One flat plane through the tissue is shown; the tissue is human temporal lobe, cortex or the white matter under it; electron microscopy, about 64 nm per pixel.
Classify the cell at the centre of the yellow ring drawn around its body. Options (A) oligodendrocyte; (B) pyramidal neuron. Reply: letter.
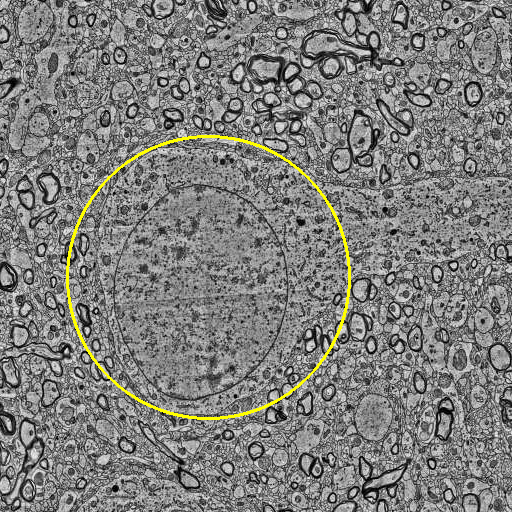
B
